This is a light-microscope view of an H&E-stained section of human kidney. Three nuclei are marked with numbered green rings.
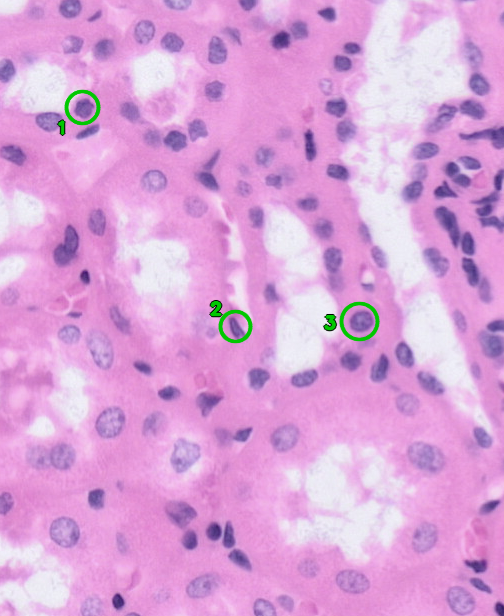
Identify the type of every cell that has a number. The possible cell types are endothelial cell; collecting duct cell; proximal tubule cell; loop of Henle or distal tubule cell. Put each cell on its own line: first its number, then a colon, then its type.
1: loop of Henle or distal tubule cell
2: endothelial cell
3: collecting duct cell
